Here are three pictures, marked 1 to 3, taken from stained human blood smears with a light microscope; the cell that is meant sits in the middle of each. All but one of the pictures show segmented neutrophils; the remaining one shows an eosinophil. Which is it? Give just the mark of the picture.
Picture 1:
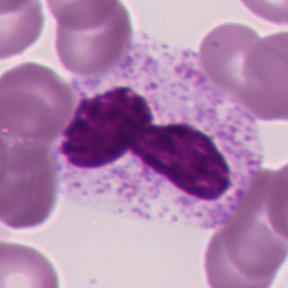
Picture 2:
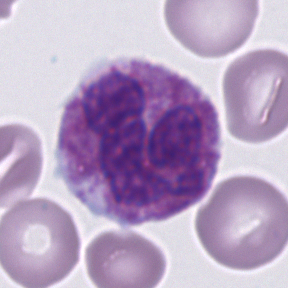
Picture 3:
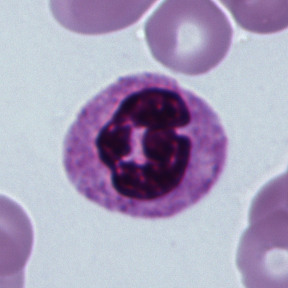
2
